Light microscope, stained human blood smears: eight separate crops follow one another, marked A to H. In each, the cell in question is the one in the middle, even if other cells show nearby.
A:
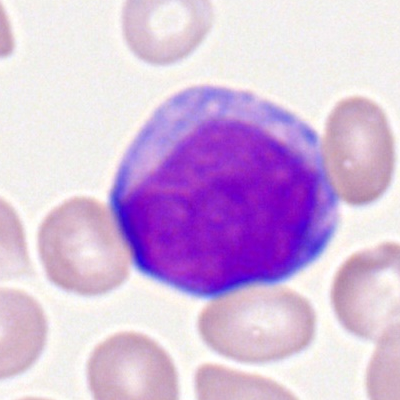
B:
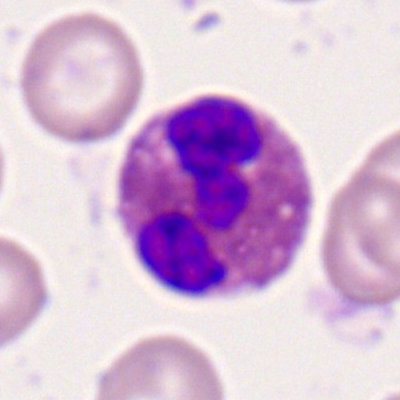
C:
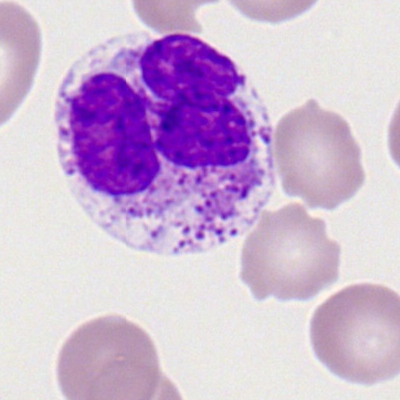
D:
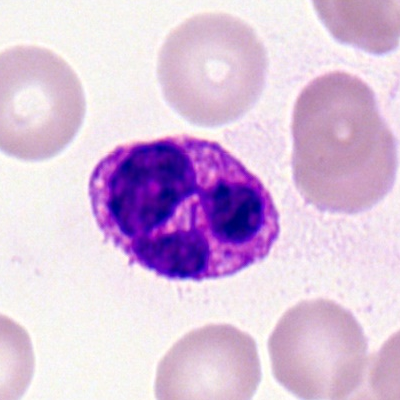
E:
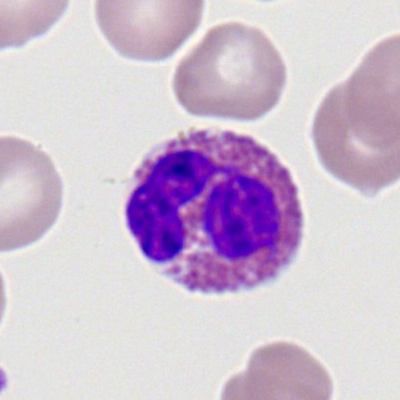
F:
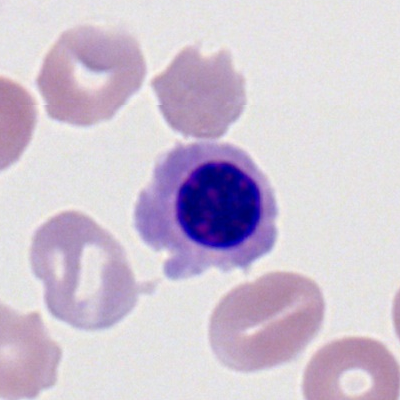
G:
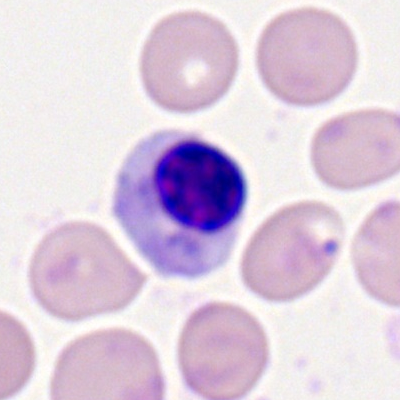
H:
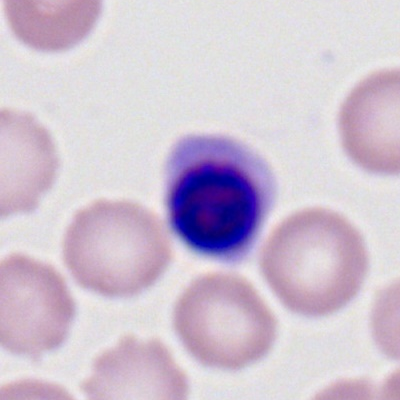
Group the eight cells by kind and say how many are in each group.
erythroblast: 3
eosinophil: 2
basophil: 2
myeloblast: 1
